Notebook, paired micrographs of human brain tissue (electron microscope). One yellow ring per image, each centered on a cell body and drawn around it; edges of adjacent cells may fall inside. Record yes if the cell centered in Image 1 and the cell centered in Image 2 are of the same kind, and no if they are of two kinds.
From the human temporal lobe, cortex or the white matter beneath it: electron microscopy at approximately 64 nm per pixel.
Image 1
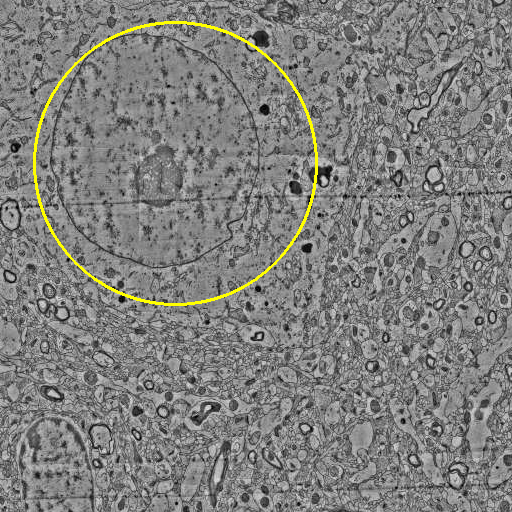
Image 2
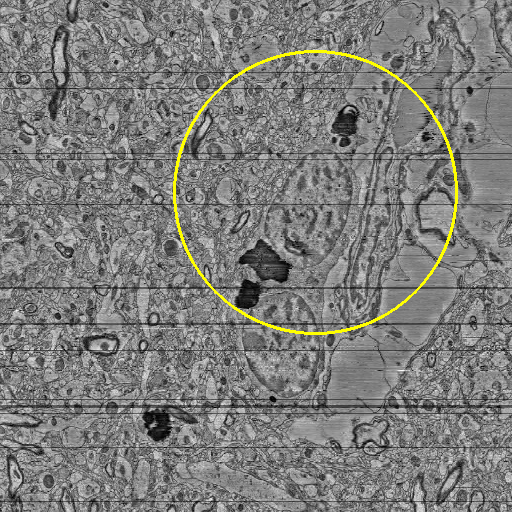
no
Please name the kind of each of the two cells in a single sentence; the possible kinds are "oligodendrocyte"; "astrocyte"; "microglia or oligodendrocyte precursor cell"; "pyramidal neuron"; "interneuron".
In the first picture the ring is centred on a pyramidal neuron, and in the second on an oligodendrocyte.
